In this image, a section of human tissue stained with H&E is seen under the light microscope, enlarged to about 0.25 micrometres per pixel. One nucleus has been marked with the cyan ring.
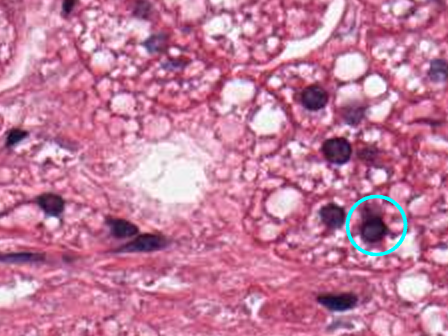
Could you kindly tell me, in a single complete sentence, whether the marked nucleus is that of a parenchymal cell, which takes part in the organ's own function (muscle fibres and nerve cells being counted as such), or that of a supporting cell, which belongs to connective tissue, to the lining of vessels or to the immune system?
The marked nucleus is the nucleus of a parenchymal cell, that is, an adrenal cortical cell.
